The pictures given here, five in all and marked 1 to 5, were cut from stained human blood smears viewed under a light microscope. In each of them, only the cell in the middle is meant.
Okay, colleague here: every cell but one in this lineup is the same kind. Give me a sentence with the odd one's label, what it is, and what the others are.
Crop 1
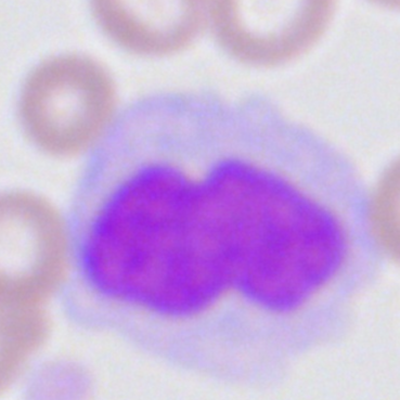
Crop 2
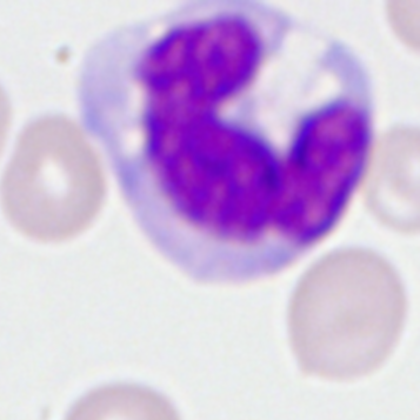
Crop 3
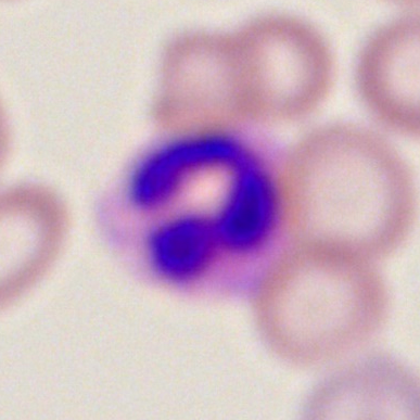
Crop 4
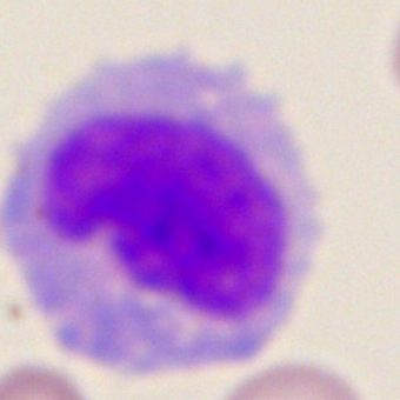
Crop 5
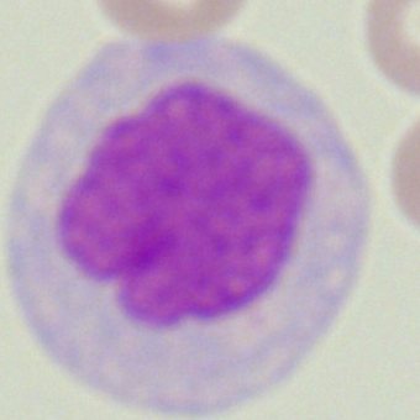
Shown in crop 3 is a segmented neutrophil, in contrast to the monocytes of all the other crops.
